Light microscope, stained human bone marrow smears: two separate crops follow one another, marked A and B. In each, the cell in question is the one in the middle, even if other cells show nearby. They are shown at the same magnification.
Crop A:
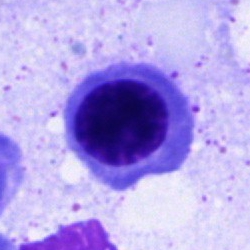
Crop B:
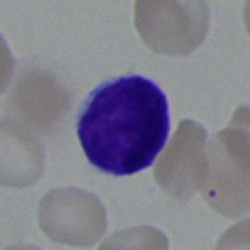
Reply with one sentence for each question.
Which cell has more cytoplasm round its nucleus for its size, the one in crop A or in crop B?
Of the two, the nucleus in crop A leaves more room for cytoplasm.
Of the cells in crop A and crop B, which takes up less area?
Smaller is the cell in crop B, and the other is about 1.5 times as large in area.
